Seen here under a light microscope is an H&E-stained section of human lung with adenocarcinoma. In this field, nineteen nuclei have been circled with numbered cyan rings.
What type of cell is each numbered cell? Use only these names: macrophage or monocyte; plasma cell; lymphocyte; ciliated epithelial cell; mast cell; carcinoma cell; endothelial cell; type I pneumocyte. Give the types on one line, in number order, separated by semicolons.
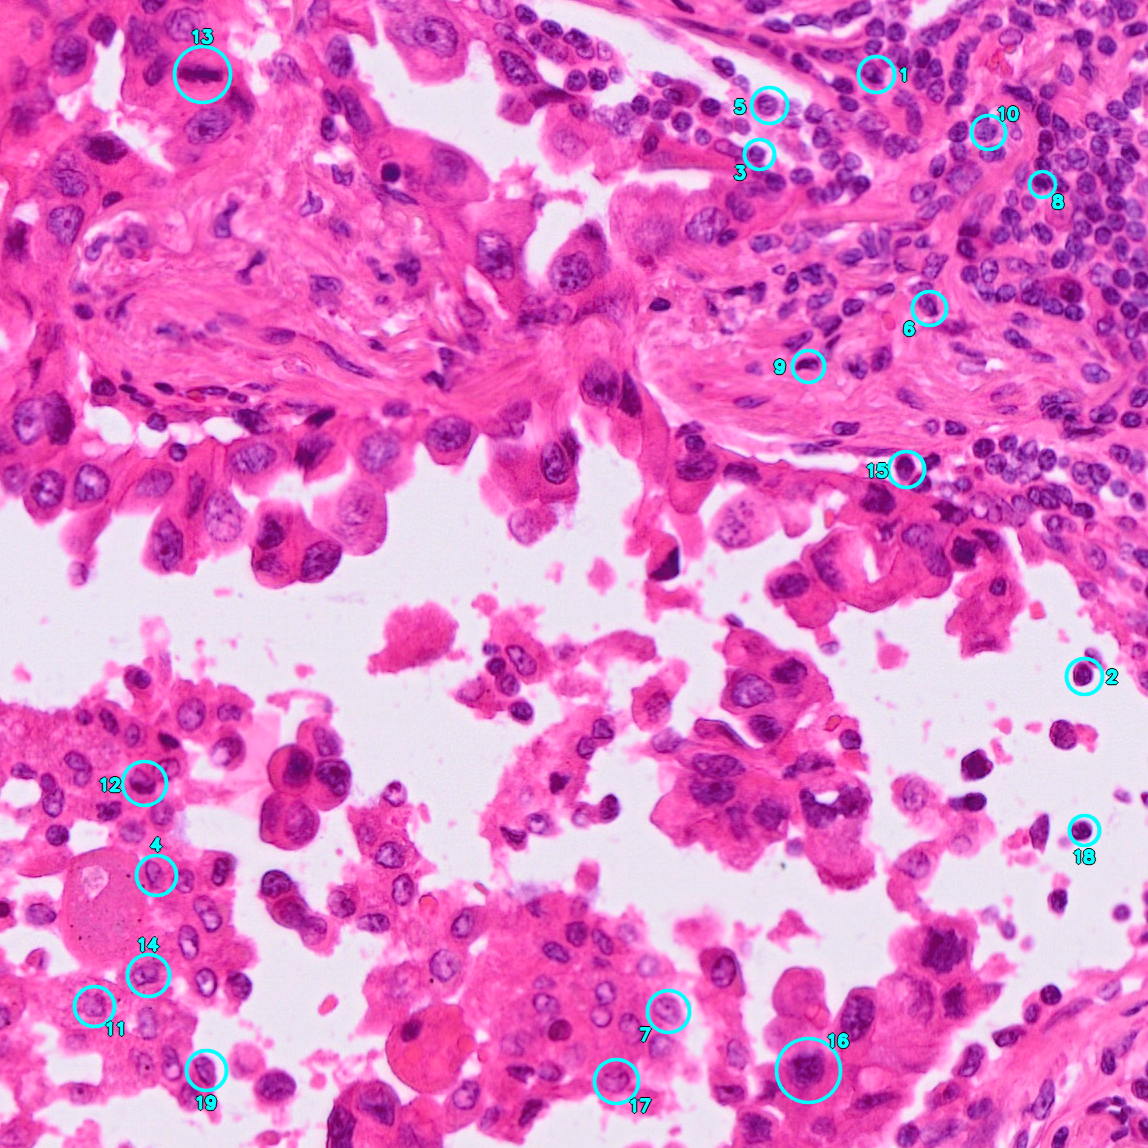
lymphocyte; lymphocyte; lymphocyte; macrophage or monocyte; lymphocyte; lymphocyte; macrophage or monocyte; lymphocyte; lymphocyte; lymphocyte; macrophage or monocyte; macrophage or monocyte; carcinoma cell; macrophage or monocyte; lymphocyte; carcinoma cell; macrophage or monocyte; lymphocyte; macrophage or monocyte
